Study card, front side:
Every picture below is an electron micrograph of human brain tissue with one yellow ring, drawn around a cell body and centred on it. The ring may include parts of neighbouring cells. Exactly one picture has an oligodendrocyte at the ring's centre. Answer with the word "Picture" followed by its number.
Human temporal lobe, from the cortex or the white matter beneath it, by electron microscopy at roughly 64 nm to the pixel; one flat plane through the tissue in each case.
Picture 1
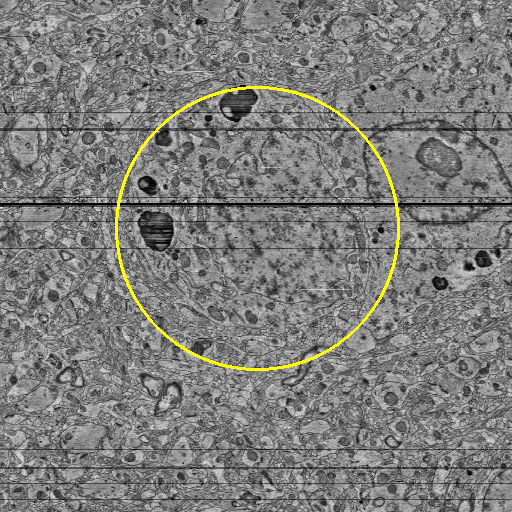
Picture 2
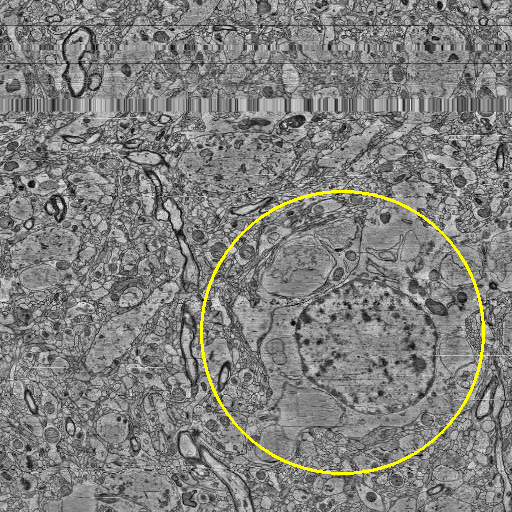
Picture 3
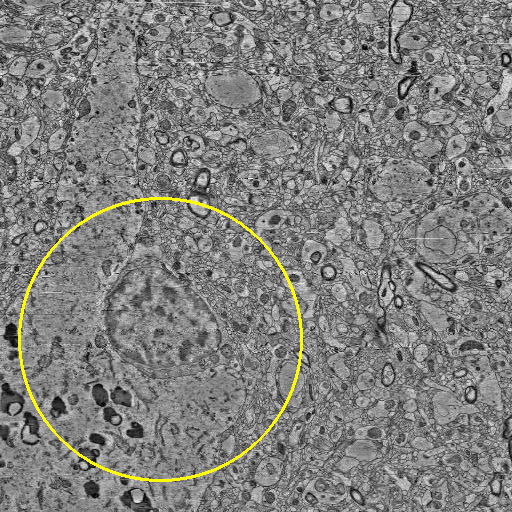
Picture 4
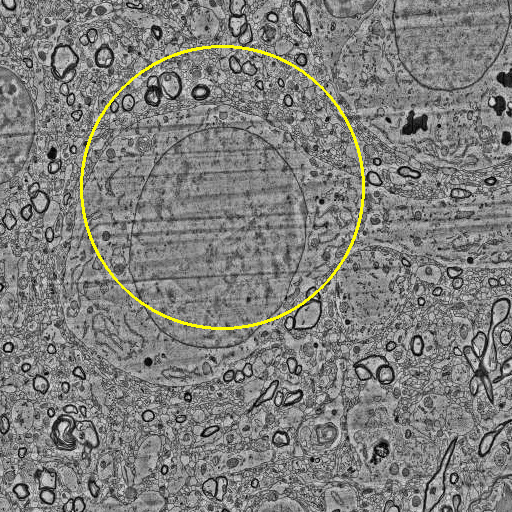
Picture 3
